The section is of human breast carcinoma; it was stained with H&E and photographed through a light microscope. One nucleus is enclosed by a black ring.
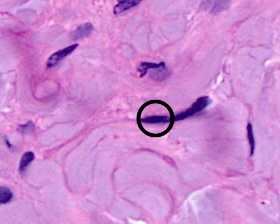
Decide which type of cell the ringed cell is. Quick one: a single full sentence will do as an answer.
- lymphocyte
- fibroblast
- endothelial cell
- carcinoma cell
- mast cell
In terms of identity, the ringed cell is a fibroblast.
